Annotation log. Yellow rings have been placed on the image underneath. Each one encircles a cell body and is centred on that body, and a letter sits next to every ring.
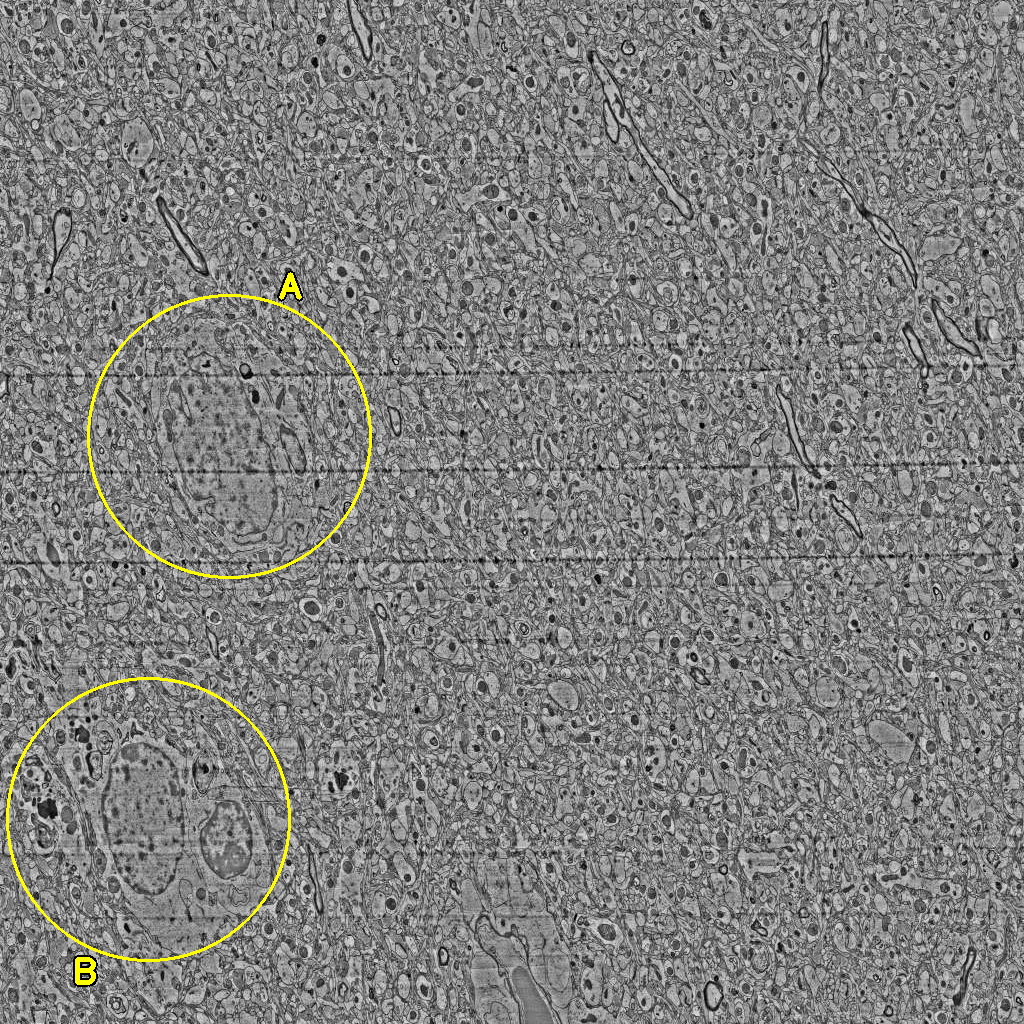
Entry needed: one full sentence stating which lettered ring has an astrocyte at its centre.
The cell asked for sits at the centre of Ring B in the picture.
